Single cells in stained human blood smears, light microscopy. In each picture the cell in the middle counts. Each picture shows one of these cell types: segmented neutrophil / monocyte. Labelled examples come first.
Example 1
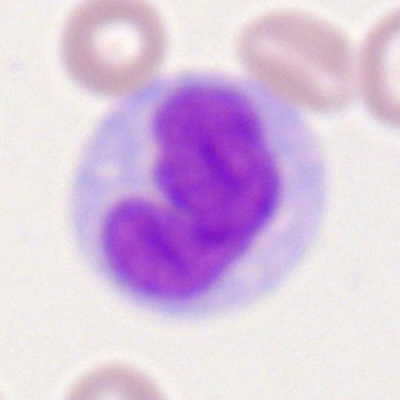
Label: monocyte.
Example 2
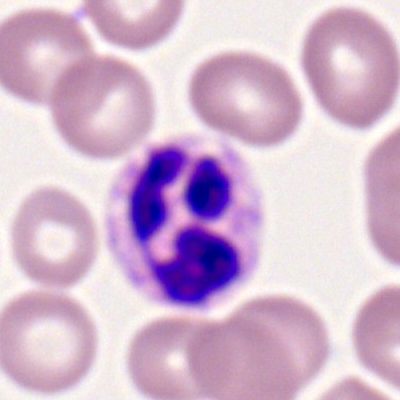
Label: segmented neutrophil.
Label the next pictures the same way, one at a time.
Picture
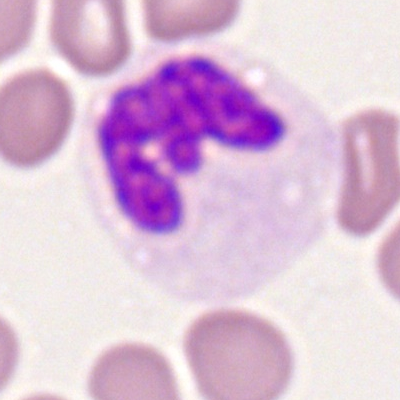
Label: segmented neutrophil.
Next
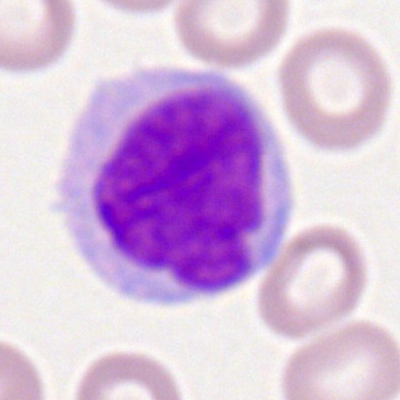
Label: monocyte.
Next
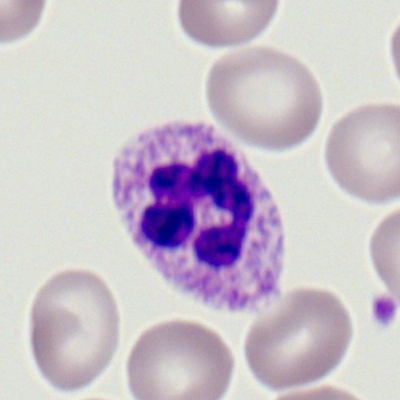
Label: segmented neutrophil.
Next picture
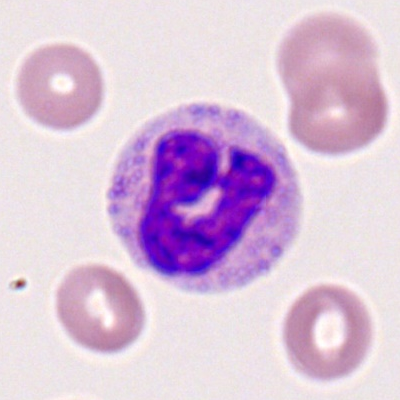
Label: segmented neutrophil.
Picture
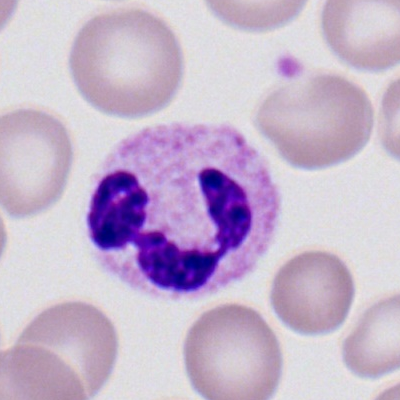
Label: segmented neutrophil.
